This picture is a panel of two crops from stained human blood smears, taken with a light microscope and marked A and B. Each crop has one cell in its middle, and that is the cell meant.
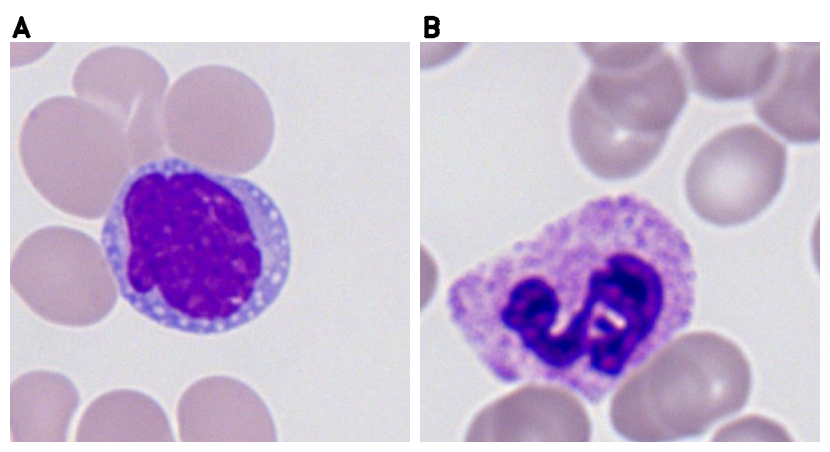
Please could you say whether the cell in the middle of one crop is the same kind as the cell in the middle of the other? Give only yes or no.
no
